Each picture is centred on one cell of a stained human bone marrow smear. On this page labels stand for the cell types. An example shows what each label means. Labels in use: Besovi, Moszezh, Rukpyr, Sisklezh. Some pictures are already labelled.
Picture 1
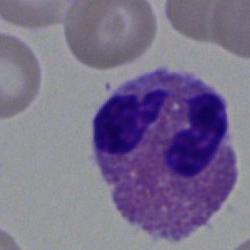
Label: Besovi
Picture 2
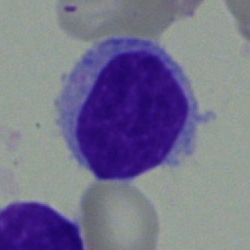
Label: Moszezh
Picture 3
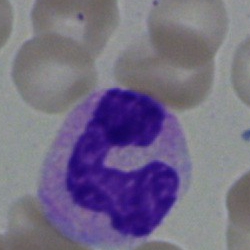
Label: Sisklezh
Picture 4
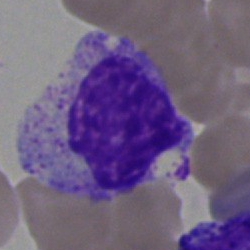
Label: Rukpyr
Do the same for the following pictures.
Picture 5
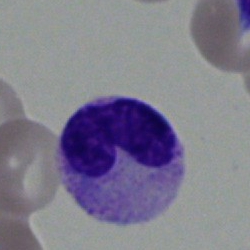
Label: Sisklezh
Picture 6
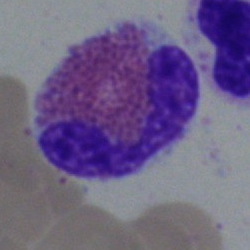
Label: Besovi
